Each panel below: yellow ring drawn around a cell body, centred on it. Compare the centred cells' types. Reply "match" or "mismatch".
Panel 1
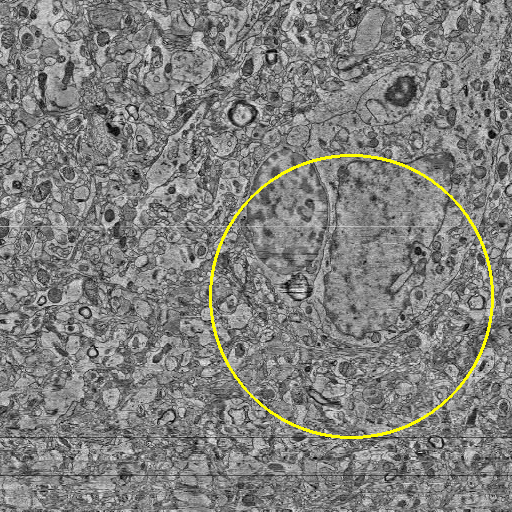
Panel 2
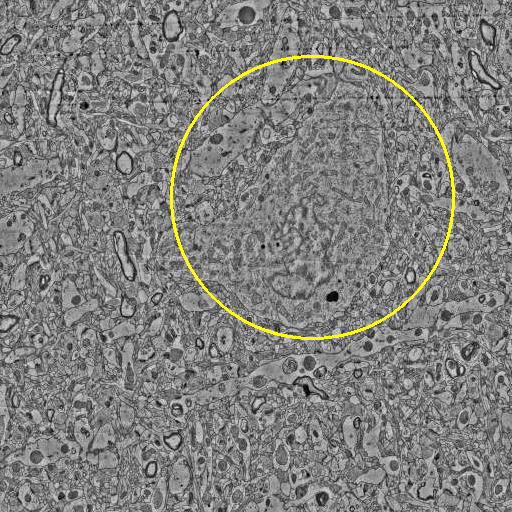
match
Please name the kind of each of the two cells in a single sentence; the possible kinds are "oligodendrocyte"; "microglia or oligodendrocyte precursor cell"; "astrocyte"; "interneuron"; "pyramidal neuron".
Each of the ringed cells, first and second, is an interneuron.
